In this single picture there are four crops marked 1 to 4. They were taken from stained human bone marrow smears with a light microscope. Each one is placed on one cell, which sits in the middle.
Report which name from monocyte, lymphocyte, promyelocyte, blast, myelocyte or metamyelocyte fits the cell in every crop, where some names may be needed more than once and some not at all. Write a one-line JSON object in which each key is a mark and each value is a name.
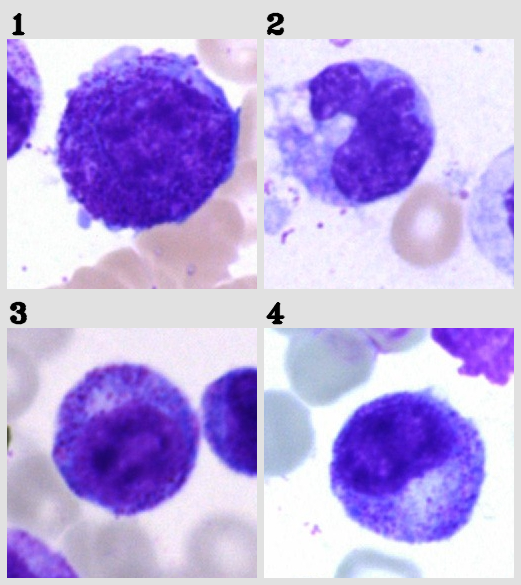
{"1": "promyelocyte", "2": "monocyte", "3": "promyelocyte", "4": "myelocyte"}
